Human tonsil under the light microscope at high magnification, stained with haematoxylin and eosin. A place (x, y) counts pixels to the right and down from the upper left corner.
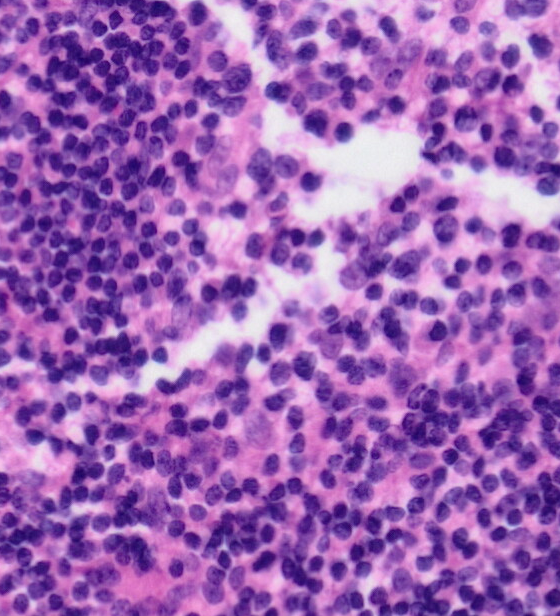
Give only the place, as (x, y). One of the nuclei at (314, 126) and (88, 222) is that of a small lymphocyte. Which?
(88, 222)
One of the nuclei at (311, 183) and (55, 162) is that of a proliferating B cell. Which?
(311, 183)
